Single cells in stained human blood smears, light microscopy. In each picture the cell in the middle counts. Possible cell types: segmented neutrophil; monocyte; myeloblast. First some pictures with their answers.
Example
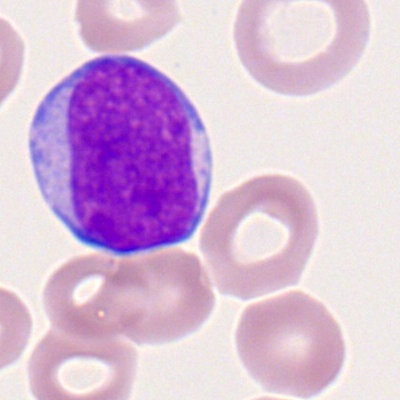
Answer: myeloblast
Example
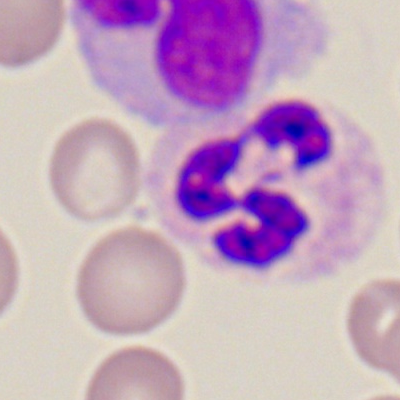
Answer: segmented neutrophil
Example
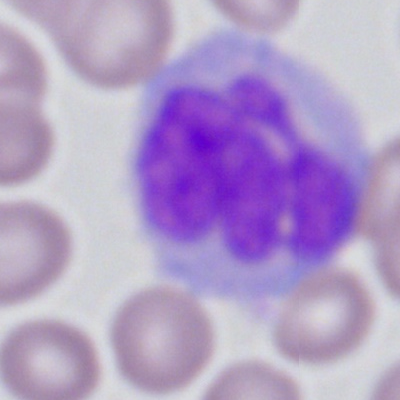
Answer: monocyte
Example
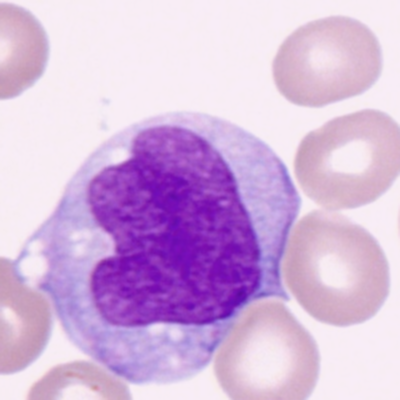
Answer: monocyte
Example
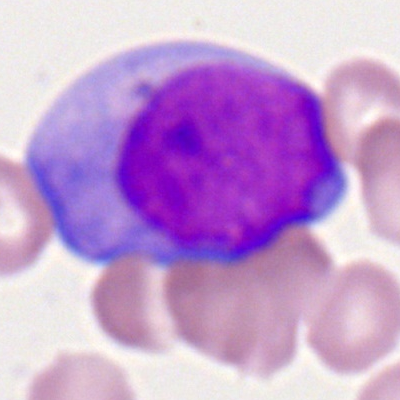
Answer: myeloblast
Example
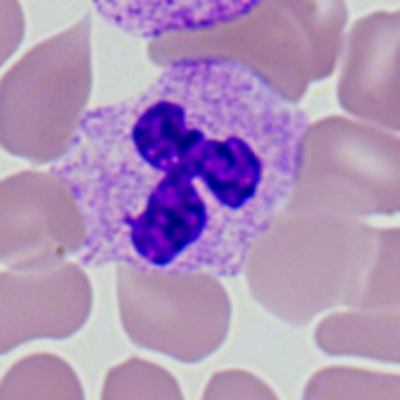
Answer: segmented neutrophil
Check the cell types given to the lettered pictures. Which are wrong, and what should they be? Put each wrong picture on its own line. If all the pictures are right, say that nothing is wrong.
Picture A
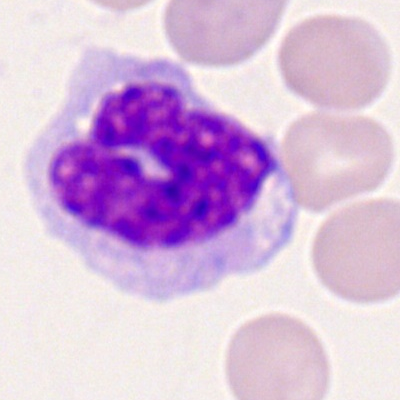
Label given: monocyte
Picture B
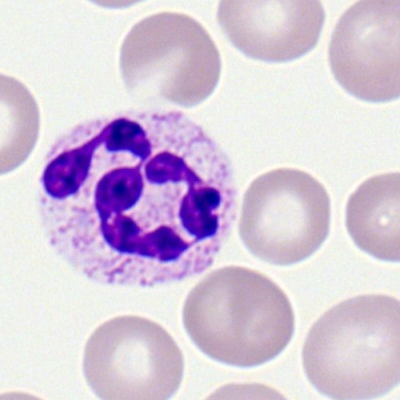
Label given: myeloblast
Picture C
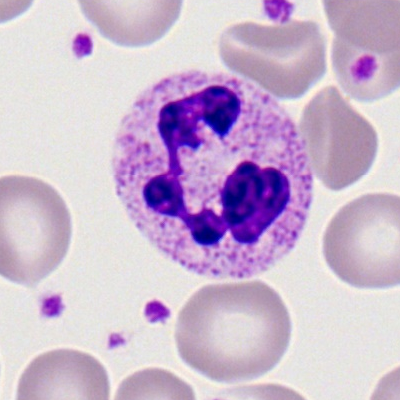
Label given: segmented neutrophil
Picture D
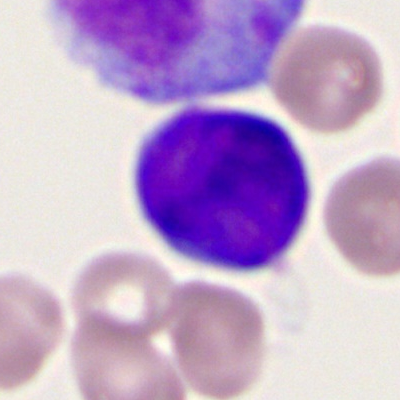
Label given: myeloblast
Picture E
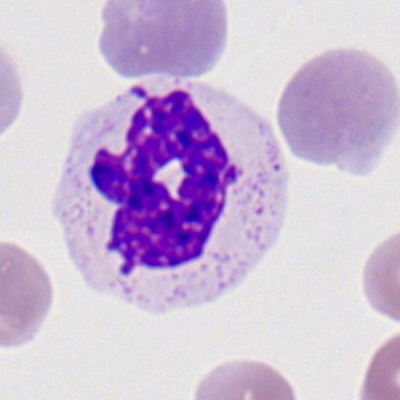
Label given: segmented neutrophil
B should be segmented neutrophil, not myeloblast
